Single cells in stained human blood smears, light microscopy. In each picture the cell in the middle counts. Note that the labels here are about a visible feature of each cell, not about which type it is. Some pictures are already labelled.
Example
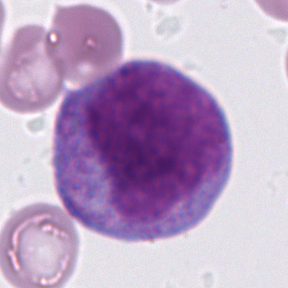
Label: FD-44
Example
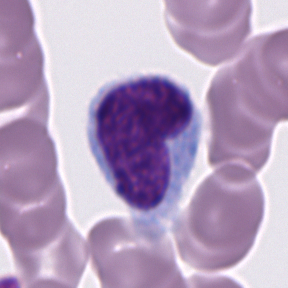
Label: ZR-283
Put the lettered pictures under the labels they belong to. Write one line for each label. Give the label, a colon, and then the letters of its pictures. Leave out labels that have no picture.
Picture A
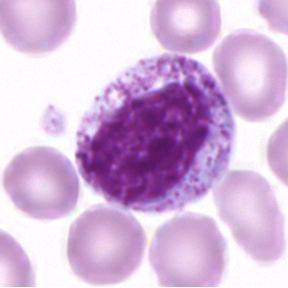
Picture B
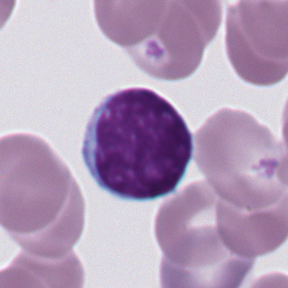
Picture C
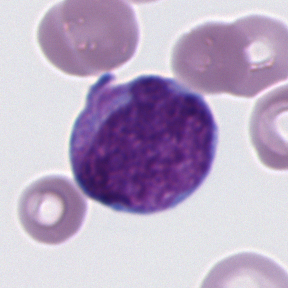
ZR-283: A, B, C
